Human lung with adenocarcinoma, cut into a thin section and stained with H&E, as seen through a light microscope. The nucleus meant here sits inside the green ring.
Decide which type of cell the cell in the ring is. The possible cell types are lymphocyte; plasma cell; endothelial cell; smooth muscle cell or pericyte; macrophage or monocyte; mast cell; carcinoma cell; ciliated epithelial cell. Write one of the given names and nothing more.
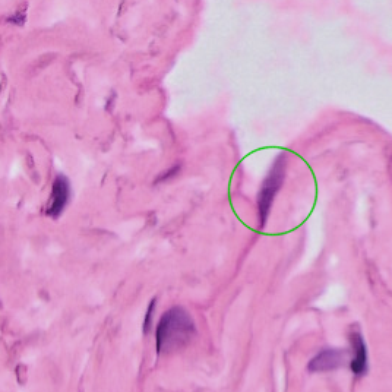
endothelial cell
